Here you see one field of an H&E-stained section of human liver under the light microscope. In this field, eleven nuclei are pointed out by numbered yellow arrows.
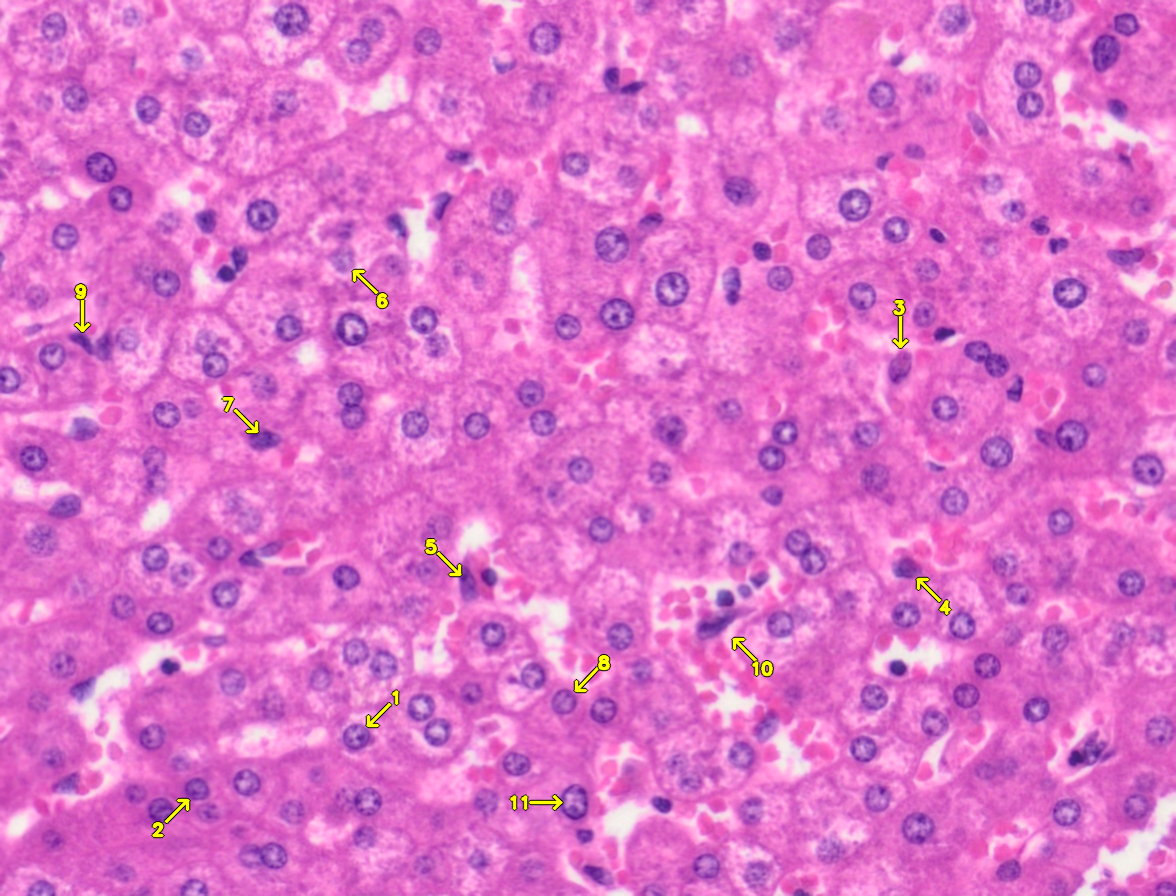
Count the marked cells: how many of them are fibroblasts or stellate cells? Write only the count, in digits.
2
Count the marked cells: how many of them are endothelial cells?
1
